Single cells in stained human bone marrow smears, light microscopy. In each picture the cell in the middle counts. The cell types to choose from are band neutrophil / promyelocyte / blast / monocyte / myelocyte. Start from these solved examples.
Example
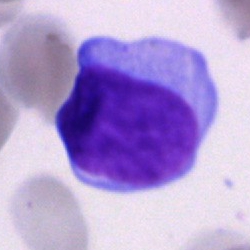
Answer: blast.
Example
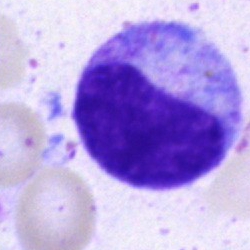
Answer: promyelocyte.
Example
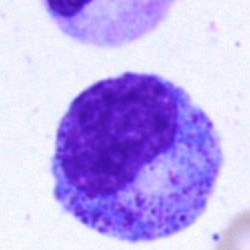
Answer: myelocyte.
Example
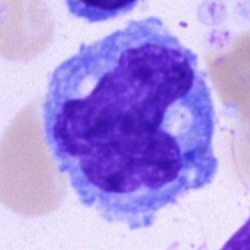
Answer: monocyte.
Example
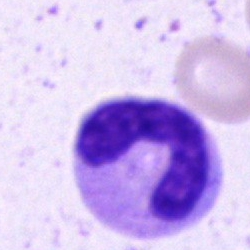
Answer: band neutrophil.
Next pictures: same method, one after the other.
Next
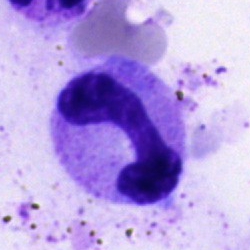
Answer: band neutrophil.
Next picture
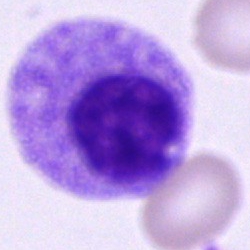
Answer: myelocyte.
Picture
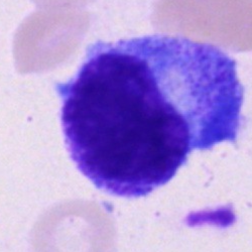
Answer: promyelocyte.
